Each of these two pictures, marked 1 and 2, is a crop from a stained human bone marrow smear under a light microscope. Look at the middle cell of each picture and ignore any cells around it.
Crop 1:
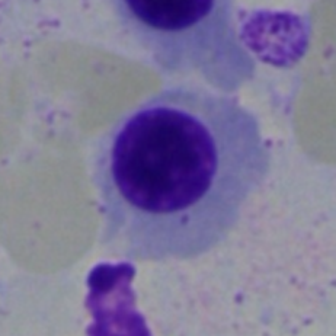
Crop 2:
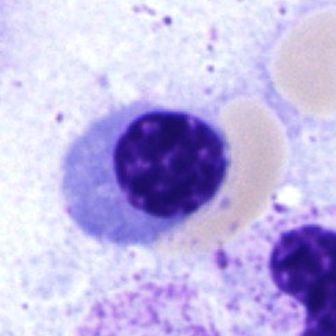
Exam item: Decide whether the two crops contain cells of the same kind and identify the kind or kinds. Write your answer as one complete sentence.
Yes, both crops show normoblasts in their central position.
